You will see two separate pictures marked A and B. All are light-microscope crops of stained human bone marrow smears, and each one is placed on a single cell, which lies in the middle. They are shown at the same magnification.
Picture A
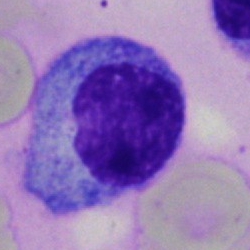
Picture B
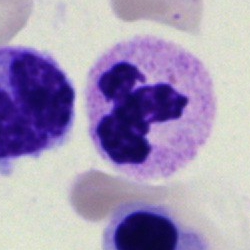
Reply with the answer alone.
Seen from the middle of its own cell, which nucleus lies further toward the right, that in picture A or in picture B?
A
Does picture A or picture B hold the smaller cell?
B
